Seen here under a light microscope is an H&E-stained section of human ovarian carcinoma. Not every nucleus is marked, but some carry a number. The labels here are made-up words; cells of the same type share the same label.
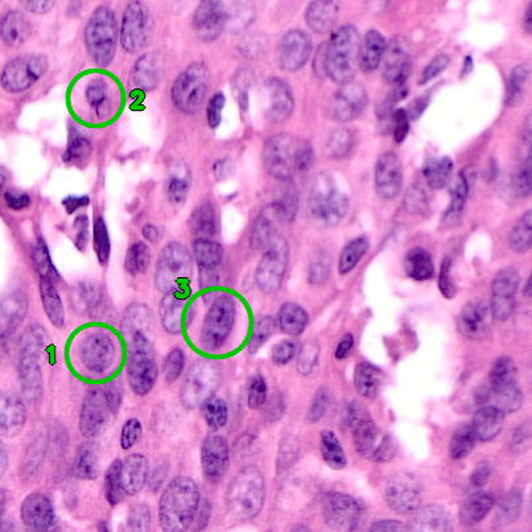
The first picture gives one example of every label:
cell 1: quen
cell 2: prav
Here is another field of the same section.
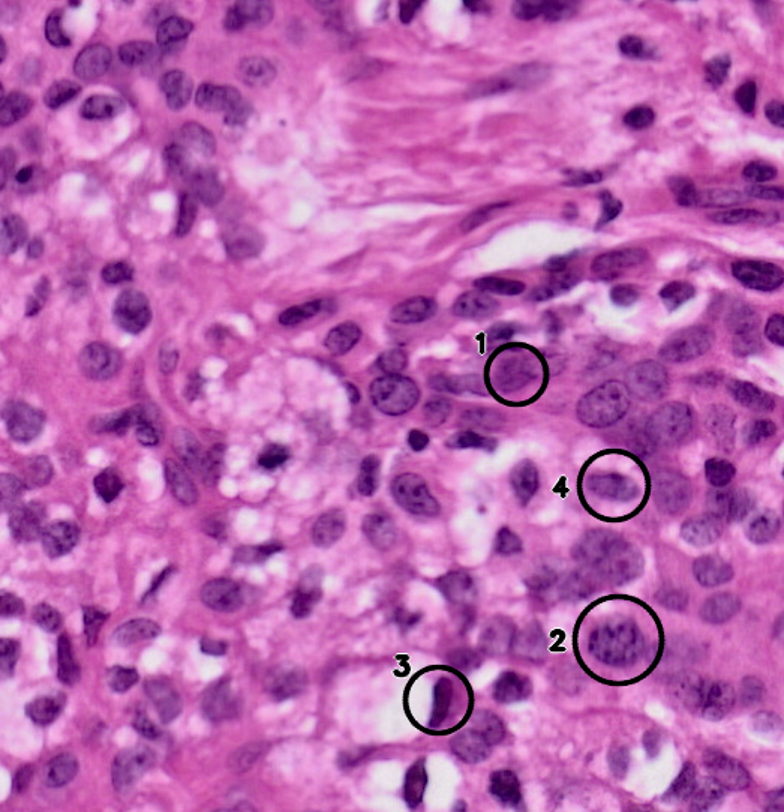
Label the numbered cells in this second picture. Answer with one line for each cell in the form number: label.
1: quen
2: quen
3: quen
4: prav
